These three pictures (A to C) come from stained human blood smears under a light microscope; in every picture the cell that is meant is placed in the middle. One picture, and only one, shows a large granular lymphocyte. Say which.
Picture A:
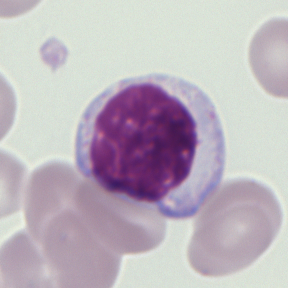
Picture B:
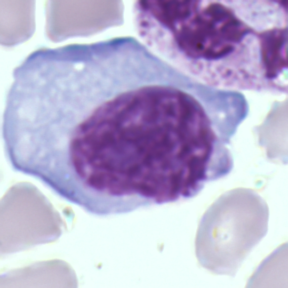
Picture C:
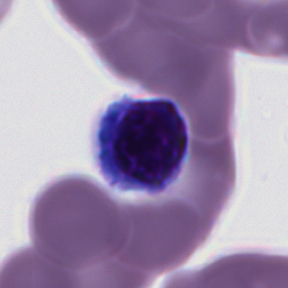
A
